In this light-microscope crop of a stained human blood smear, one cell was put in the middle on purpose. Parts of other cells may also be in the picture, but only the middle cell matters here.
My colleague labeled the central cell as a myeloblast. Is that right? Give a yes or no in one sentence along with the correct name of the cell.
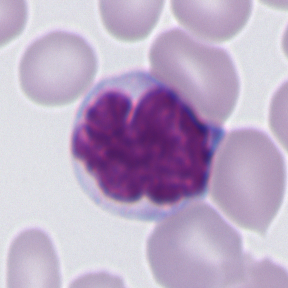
No, at the middle of the crop is a large granular lymphocyte, not a myeloblast.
